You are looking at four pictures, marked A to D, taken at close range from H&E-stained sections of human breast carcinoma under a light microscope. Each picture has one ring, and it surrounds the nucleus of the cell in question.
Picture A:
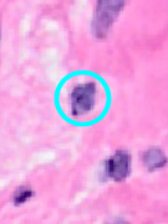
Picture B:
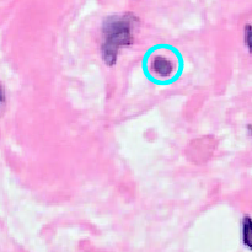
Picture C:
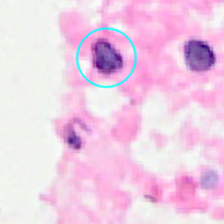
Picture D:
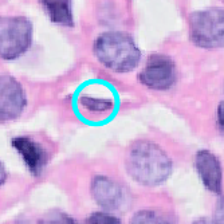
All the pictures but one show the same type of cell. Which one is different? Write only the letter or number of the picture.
D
